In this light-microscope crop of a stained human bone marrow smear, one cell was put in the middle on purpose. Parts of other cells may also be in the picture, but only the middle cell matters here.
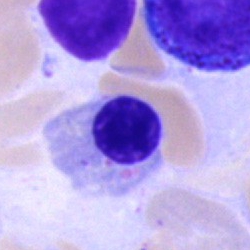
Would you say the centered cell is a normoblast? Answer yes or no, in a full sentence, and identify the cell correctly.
Yes, the cell occupying the middle of the crop is a normoblast.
